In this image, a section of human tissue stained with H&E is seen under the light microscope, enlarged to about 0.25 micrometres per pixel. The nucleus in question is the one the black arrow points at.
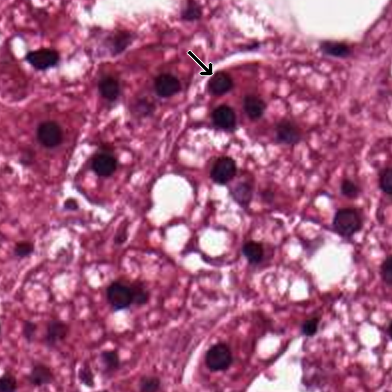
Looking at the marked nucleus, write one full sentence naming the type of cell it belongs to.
Here it is an adrenal cortical cell that the marked nucleus belongs to.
